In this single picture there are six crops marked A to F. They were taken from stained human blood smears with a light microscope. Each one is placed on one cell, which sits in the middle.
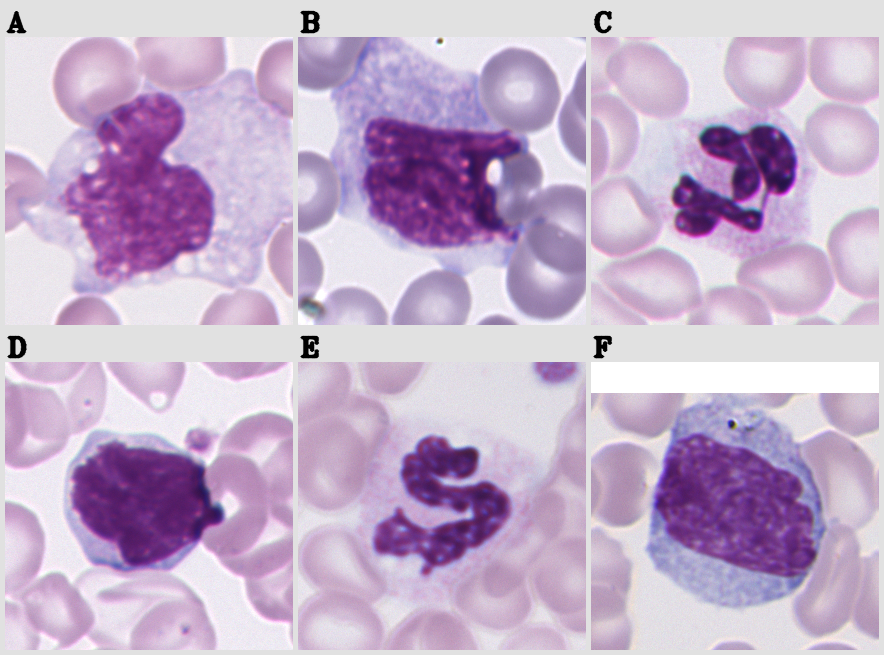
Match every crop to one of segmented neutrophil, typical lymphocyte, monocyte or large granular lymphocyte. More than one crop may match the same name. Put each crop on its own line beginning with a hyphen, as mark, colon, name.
- A: monocyte
- B: monocyte
- C: segmented neutrophil
- D: typical lymphocyte
- E: segmented neutrophil
- F: monocyte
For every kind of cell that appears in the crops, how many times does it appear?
monocyte: 3
segmented neutrophil: 2
typical lymphocyte: 1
